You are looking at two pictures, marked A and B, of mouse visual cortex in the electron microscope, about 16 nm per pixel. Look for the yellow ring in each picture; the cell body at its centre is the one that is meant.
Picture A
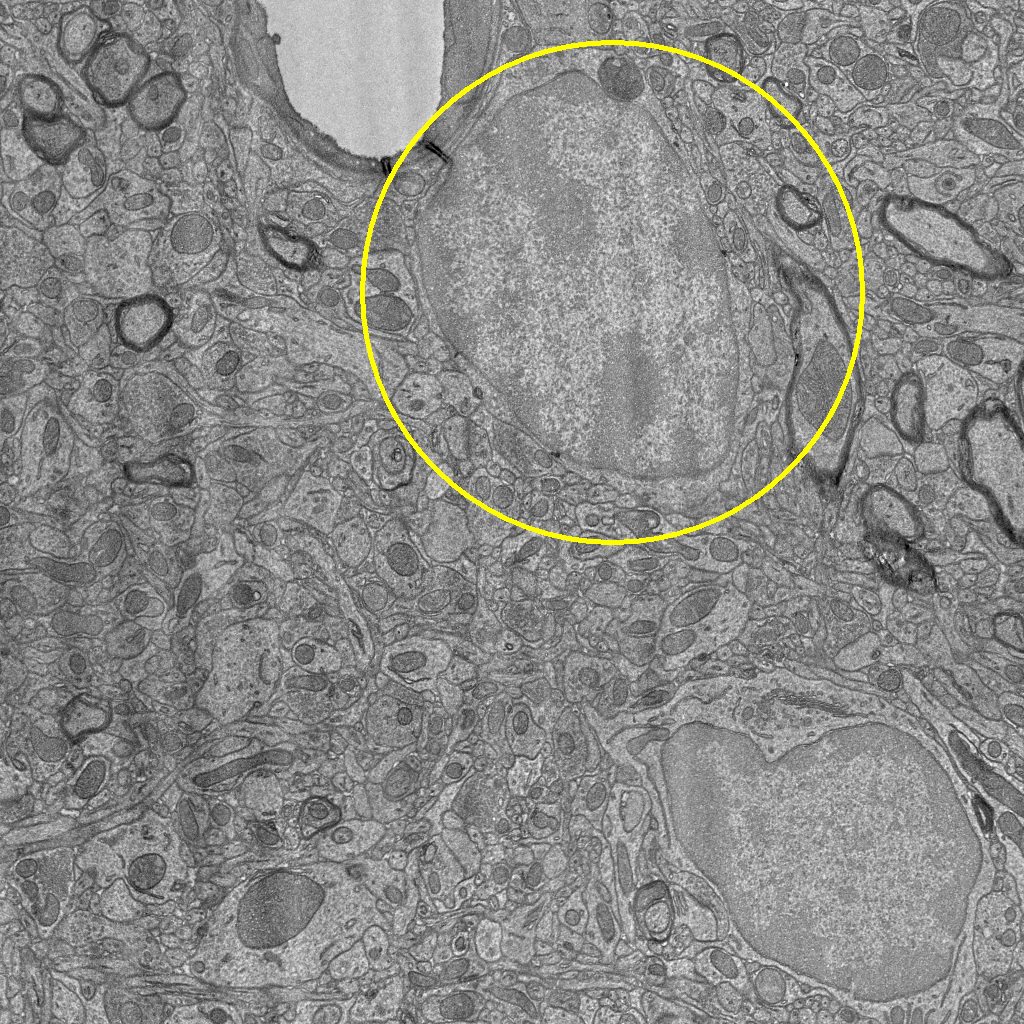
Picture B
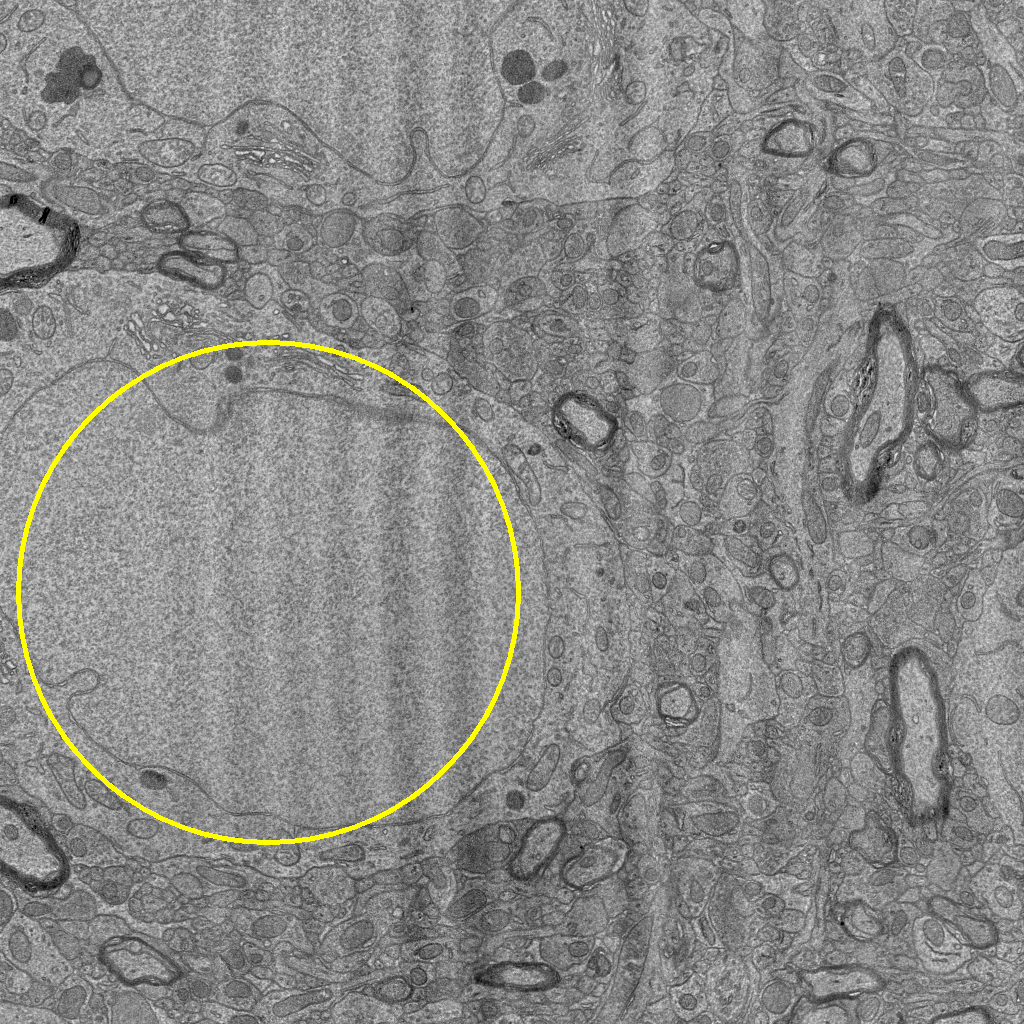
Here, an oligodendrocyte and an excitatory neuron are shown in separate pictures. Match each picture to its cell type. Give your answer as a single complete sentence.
In picture A the cell is an oligodendrocyte; in picture B, an excitatory neuron.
